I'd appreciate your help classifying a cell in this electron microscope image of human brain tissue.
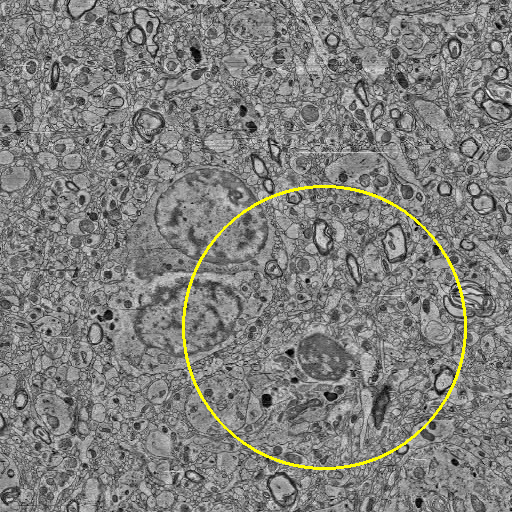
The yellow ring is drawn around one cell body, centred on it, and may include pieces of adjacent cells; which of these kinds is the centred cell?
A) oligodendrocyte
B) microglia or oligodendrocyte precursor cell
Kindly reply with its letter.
B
